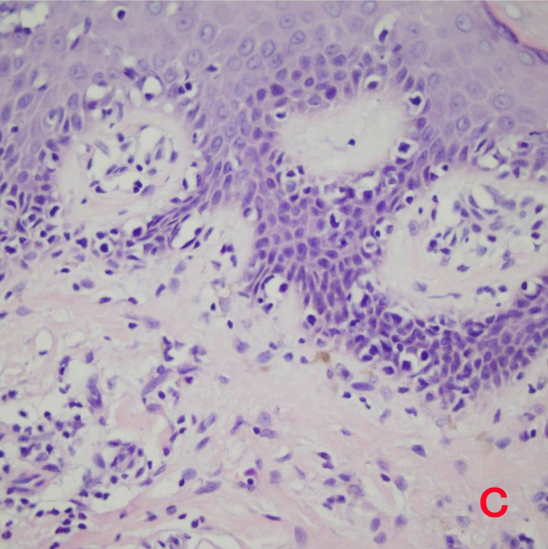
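This is skin with epidermis and upper dermis, stained pink and purple. The epidermis is thickened, with keratinocytes showing pale pink cytoplasm and round nuclei in the upper layers, and crowded, darker basal cells along elongated rete ridges. Between the ridges lie dermal papillae of loose, pale connective tissue containing scattered small cells with dark, irregular nuclei, consistent with lymphocytes. Several such small dark cells, some surrounded by clear halos, also sit within the lower epidermis among the keratinocytes. The deeper dermis shows pink collagen with further scattered small dark cells around small vessels.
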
